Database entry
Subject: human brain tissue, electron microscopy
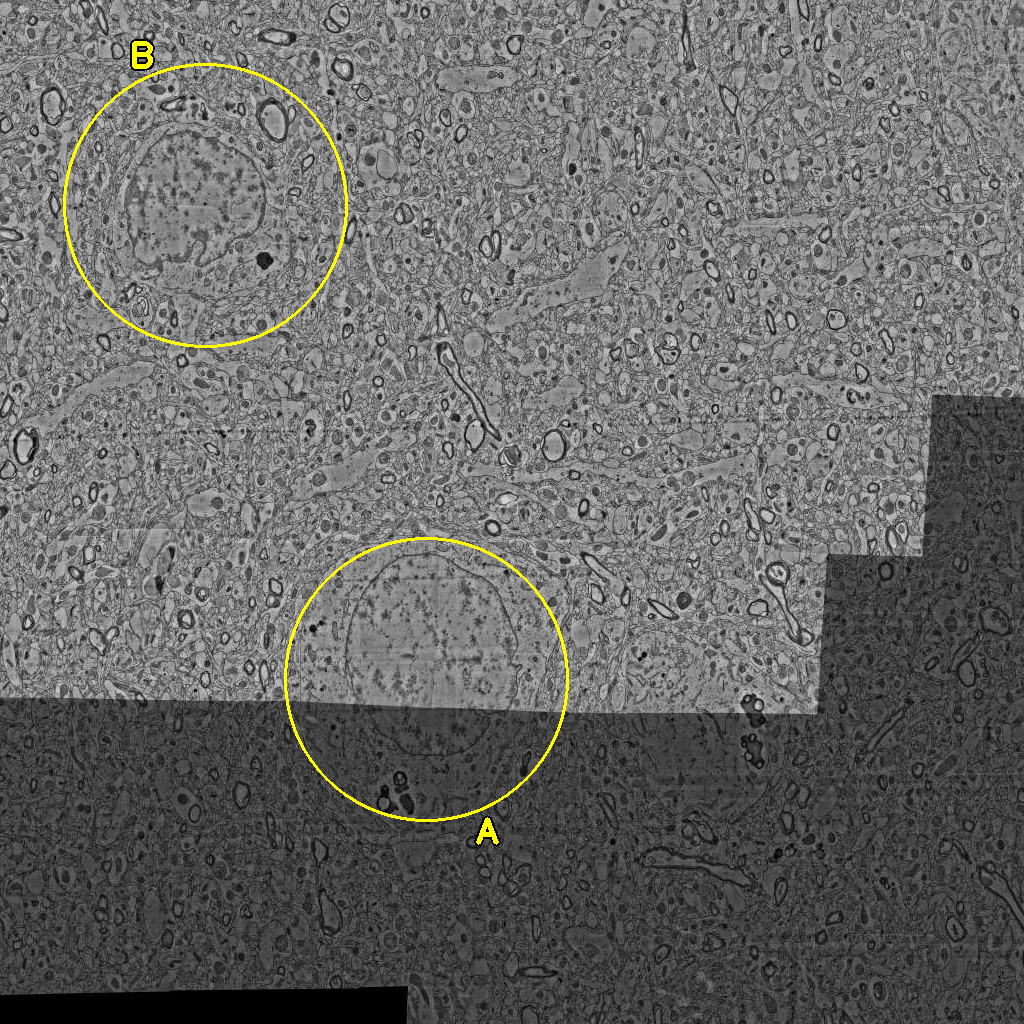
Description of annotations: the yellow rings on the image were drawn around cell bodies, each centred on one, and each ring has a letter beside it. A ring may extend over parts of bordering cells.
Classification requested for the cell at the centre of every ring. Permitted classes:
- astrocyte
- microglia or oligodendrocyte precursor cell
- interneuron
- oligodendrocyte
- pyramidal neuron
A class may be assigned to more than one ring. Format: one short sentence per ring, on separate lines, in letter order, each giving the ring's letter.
The cell body at the centre of ring A is a pyramidal neuron.
The cell body at the centre of ring B is an interneuron.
